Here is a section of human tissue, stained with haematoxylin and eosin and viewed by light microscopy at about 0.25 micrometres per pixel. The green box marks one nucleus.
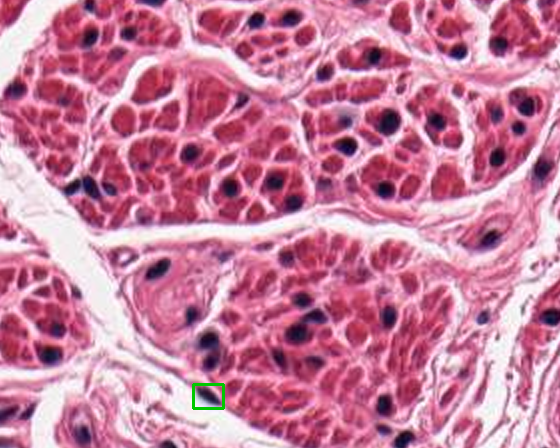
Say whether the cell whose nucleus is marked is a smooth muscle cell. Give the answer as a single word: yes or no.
no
